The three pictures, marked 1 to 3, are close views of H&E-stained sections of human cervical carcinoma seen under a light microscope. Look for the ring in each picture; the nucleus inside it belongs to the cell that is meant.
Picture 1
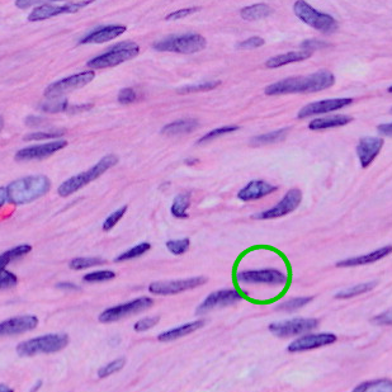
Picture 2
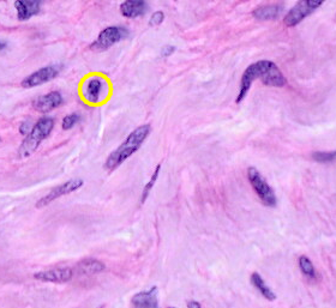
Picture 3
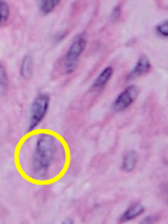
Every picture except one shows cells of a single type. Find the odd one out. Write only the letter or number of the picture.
1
